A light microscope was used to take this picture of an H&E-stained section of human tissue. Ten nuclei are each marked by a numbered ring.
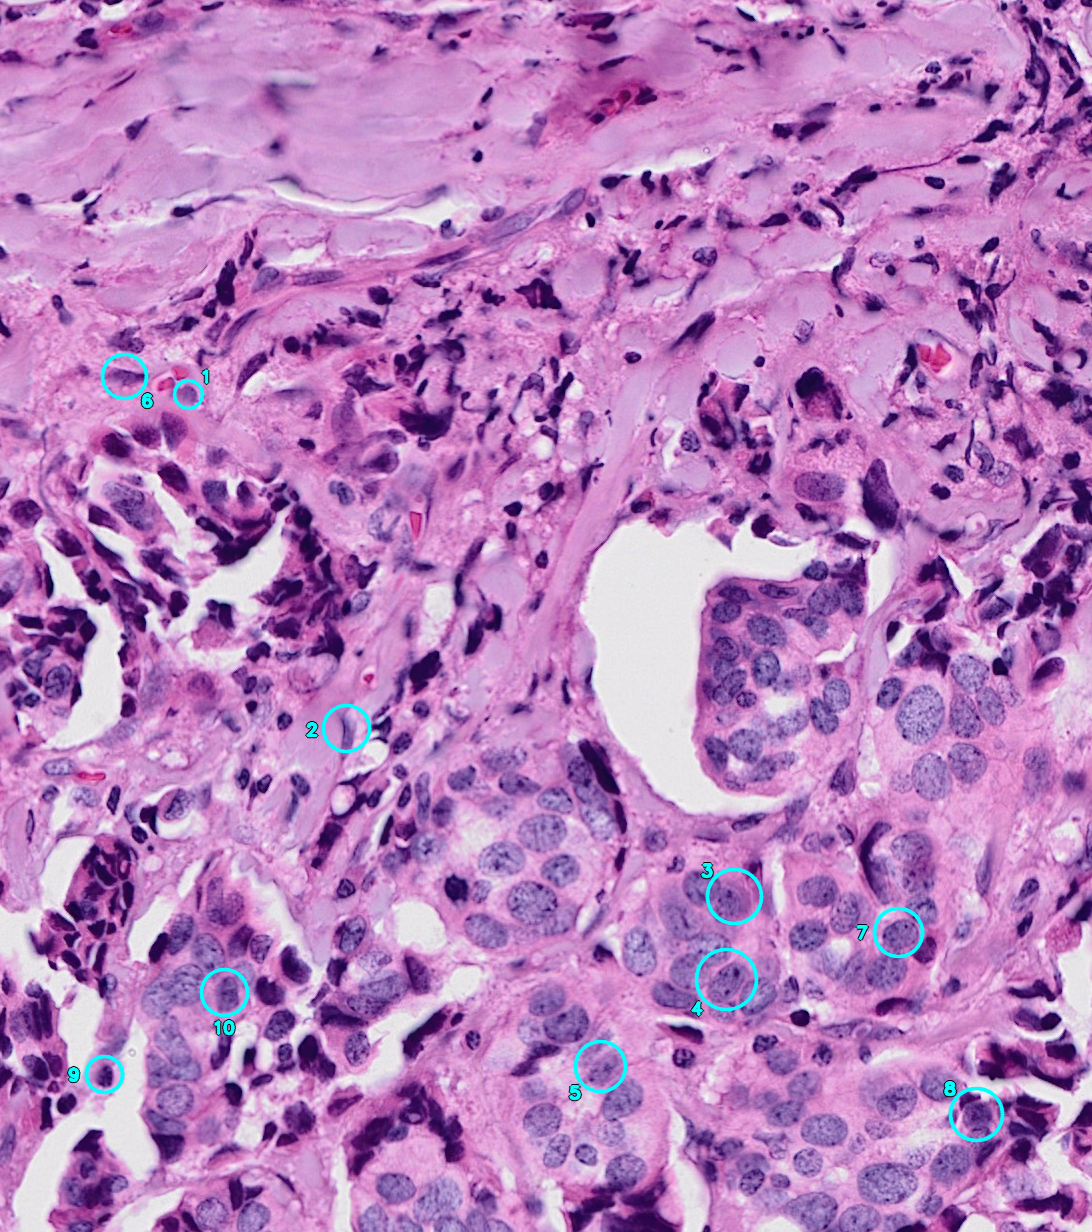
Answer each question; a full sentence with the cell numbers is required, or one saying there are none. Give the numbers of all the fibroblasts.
The cells numbered 2 and 6 are, by type, fibroblasts.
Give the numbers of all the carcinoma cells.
The cells which carry the numbers 3, 4, 5, 7, 8 and 10 are carcinoma cells.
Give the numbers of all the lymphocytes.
Response: cell 9 is a lymphocyte, and no other numbered cell is.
